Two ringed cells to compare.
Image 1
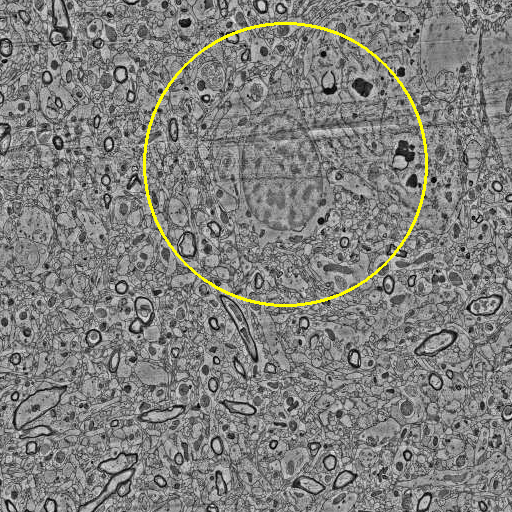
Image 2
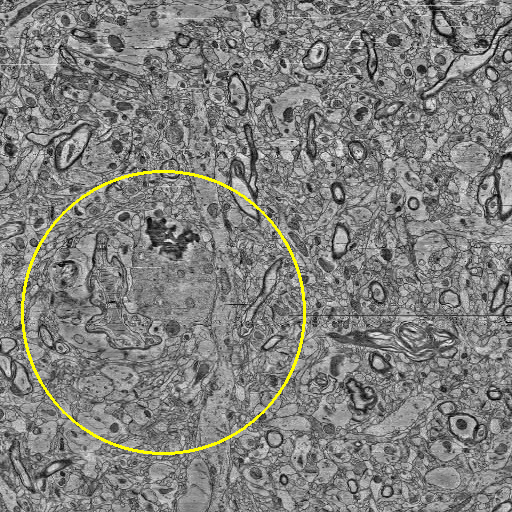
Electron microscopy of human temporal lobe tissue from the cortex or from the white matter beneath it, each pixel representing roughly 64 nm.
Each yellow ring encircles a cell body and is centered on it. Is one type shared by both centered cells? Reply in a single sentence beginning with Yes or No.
Yes, a single type is shared by the two cells at the centers of the rings.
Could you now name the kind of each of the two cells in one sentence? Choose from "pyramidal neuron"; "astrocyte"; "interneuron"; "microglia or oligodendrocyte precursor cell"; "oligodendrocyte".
Each cell, in the first picture and the second, is an oligodendrocyte.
